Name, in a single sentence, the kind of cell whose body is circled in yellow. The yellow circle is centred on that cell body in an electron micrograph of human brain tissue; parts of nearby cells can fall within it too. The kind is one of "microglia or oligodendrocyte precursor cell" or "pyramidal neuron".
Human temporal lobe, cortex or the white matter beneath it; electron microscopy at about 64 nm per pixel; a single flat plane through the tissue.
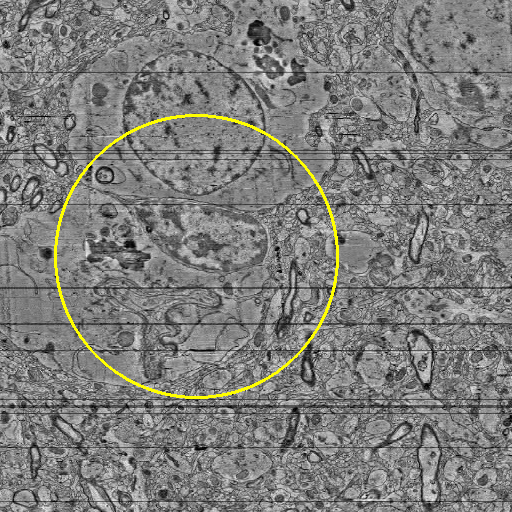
The circled cell body belongs to a microglial cell or oligodendrocyte precursor cell.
